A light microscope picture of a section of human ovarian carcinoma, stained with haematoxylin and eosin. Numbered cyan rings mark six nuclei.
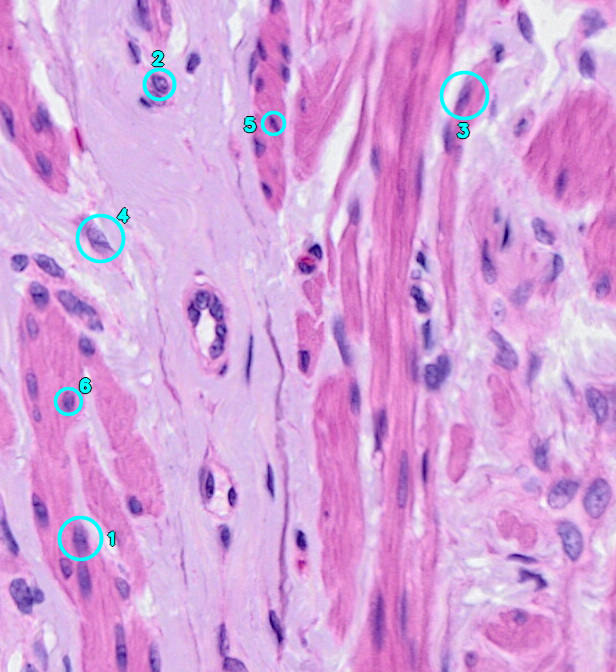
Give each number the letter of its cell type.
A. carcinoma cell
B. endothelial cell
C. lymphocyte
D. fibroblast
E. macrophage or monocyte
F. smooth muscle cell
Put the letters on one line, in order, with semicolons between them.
F; B; F; D; F; F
